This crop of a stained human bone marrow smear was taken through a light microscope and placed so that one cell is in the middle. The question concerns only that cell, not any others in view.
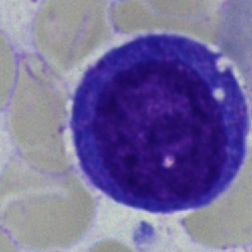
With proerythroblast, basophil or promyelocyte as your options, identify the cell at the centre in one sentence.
As for the central cell, it is a promyelocyte.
